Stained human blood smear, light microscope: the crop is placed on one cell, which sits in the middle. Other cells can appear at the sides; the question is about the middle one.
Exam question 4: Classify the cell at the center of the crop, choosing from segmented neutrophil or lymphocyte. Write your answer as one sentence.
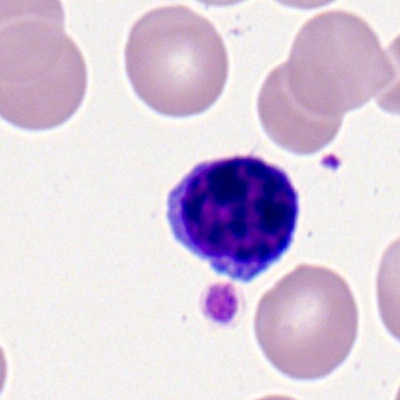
The cell featured at the centre of this crop is a lymphocyte.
